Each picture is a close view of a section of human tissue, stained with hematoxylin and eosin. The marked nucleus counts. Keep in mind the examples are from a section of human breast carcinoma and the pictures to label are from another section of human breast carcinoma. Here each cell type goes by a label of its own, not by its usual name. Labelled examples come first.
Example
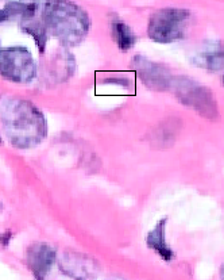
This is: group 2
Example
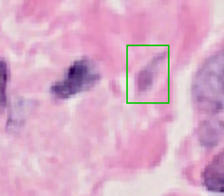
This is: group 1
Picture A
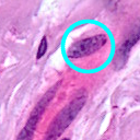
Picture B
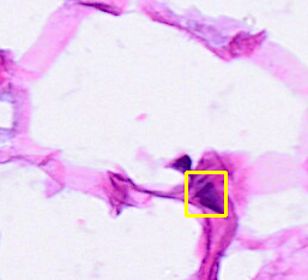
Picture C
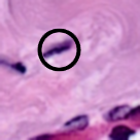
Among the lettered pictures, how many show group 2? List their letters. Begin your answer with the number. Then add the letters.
2: A, B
